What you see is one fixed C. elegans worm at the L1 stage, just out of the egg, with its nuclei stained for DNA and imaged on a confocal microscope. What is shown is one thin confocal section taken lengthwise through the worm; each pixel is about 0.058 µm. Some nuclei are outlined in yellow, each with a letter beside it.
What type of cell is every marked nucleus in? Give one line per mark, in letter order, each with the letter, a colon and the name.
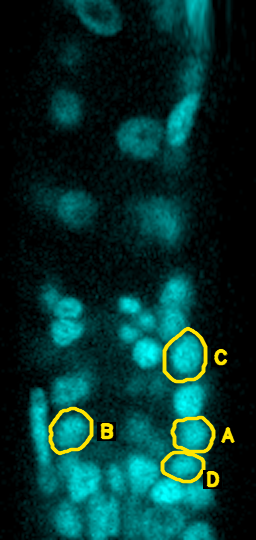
A: neuron
B: pharyngeal muscle cell
C: neuron
D: neuron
